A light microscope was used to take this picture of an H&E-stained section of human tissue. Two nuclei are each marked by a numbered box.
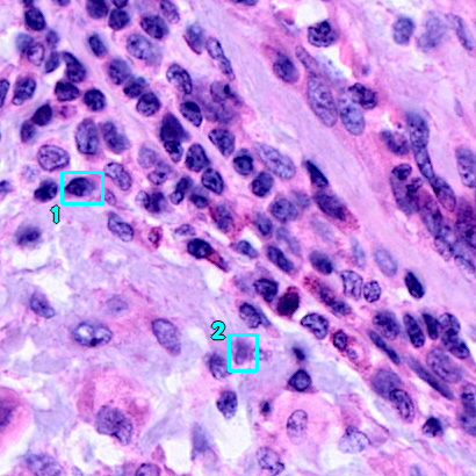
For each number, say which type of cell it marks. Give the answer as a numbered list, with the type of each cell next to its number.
1. lymphocyte
2. macrophage or monocyte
